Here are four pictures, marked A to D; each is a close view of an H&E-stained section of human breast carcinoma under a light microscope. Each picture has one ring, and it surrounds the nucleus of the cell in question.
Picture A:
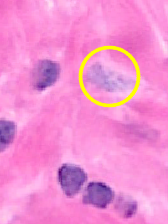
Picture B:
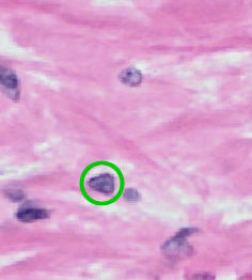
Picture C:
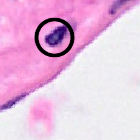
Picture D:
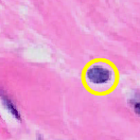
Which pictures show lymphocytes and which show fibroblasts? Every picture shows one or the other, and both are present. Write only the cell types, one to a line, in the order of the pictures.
fibroblast
lymphocyte
lymphocyte
lymphocyte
